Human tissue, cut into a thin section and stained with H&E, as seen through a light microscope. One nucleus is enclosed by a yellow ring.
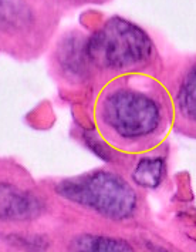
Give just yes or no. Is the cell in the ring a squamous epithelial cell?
no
